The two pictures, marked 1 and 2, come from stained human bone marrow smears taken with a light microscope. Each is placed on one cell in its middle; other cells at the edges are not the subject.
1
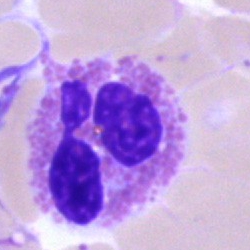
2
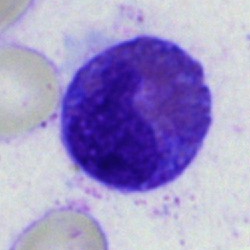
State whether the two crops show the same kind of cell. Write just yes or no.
yes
